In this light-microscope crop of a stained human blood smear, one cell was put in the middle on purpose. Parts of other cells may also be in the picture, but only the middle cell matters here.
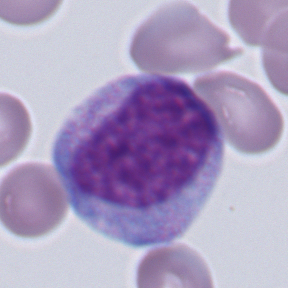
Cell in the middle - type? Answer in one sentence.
The centrally positioned cell in the crop represents a promyelocyte.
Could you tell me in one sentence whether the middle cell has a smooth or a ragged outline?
Smooth all around, the outline has no projections to report.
